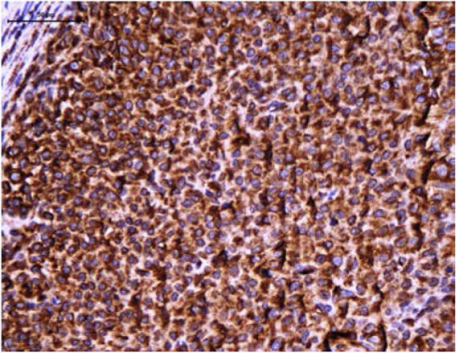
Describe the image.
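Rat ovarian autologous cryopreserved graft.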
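A corpus luteum made of solid sheets of large polygonal luteal cells with abundant brown-stained cytoplasm and round, centrally placed blue nuclei. The cells are tightly packed without a cavity, and a narrow band of spindle-shaped stromal cells lies at the upper left edge.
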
